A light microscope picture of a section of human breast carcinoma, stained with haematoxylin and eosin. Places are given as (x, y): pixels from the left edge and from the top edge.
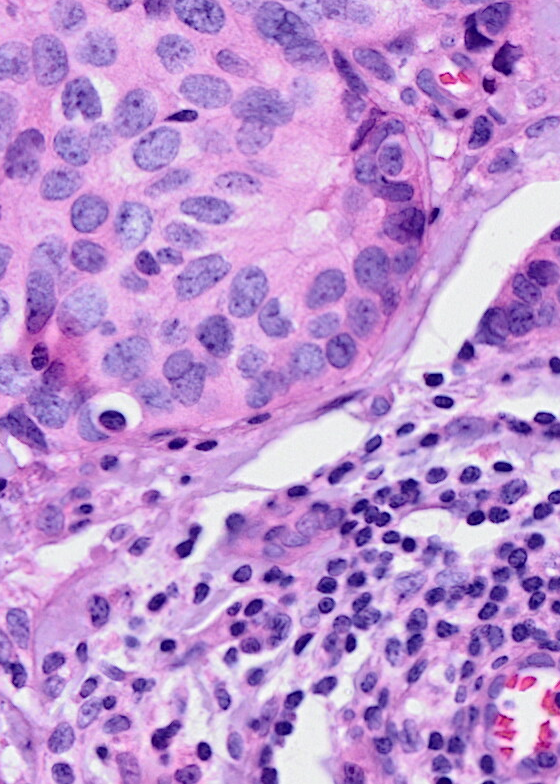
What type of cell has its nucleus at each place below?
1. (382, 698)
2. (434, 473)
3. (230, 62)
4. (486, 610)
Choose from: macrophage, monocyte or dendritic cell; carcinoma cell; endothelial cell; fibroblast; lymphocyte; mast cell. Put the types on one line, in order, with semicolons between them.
lymphocyte; lymphocyte; carcinoma cell; lymphocyte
